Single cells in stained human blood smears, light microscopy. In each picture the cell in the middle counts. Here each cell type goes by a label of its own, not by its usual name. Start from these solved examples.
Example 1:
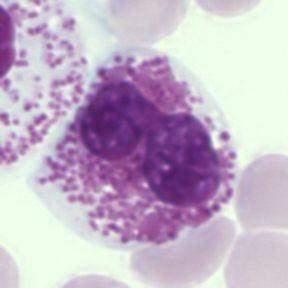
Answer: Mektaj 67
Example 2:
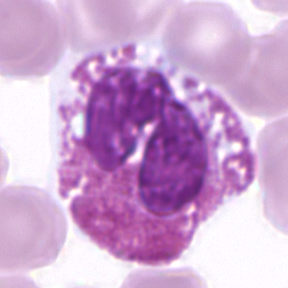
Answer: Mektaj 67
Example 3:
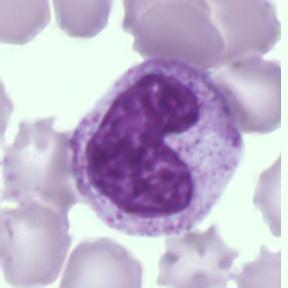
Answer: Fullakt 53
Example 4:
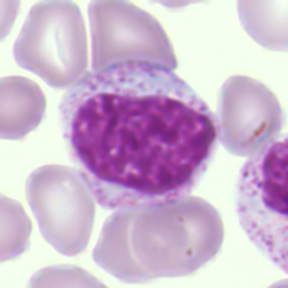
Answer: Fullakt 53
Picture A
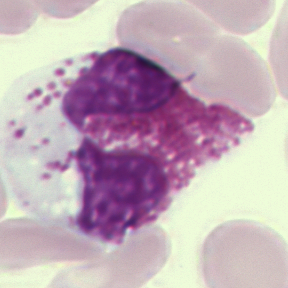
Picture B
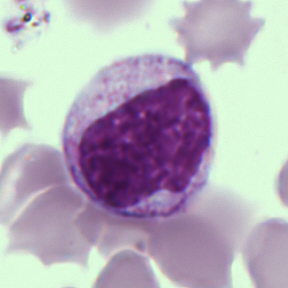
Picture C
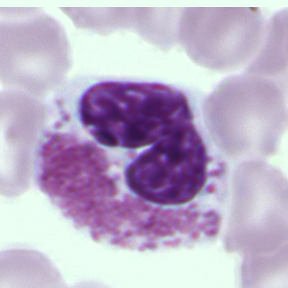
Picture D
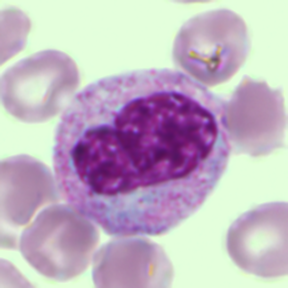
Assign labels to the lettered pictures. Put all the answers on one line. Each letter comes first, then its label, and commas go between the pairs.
A Mektaj 67, B Fullakt 53, C Mektaj 67, D Fullakt 53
